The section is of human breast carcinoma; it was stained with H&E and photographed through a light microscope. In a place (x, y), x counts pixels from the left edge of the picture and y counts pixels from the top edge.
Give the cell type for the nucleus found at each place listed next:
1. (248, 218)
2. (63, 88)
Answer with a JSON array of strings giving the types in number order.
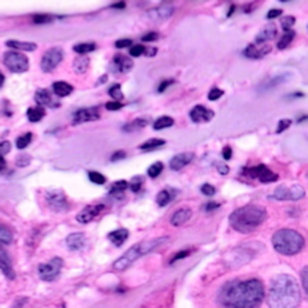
["carcinoma cell", "lymphocyte"]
